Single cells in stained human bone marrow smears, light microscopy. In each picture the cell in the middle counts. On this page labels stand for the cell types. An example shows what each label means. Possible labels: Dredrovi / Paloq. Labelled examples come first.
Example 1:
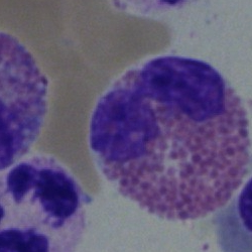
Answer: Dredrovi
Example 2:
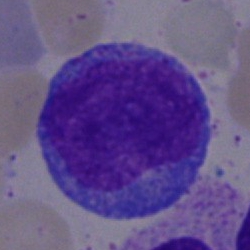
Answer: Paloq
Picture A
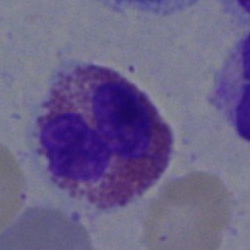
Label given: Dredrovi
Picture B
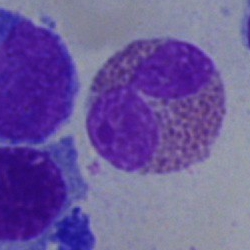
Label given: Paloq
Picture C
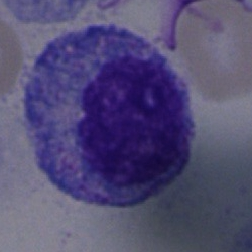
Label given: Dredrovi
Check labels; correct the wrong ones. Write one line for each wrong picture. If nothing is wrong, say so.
Wrong: B (Paloq); correct: Dredrovi
Wrong: C (Dredrovi); correct: Paloq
